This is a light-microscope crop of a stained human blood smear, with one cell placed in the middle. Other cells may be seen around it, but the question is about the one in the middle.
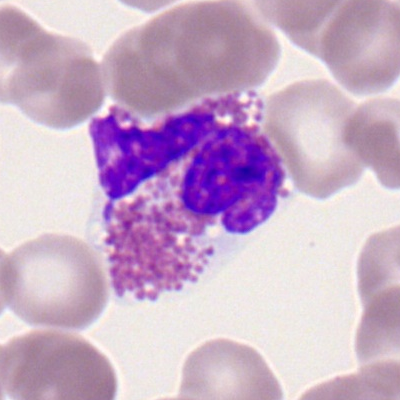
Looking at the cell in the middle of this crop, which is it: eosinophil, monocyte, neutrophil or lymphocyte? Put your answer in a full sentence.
The middle of this crop holds an eosinophil.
